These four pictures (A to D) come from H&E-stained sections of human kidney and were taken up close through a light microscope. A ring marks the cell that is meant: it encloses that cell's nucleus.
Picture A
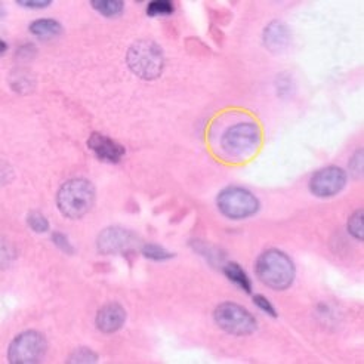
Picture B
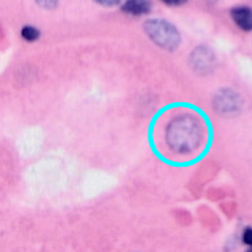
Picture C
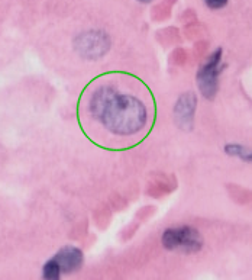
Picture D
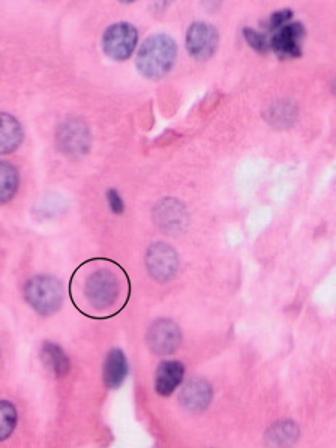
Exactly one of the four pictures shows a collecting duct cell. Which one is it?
A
